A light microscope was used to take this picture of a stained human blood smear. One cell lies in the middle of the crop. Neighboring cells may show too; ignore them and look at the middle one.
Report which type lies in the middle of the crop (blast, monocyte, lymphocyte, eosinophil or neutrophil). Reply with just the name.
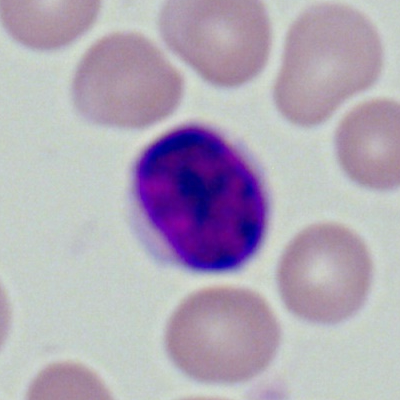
lymphocyte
